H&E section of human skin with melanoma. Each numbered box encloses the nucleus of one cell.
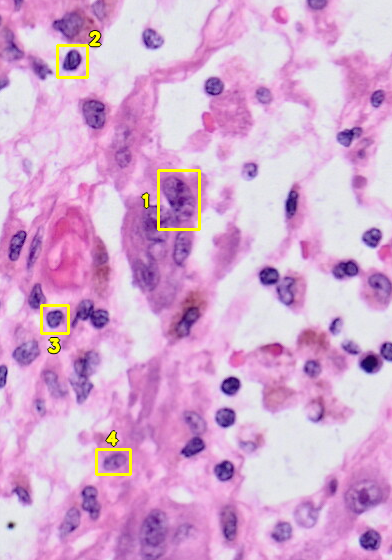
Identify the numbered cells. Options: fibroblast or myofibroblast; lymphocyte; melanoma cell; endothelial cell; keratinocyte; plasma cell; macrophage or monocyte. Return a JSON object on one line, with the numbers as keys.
{"1": "melanoma cell", "2": "lymphocyte", "3": "lymphocyte", "4": "macrophage or monocyte"}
